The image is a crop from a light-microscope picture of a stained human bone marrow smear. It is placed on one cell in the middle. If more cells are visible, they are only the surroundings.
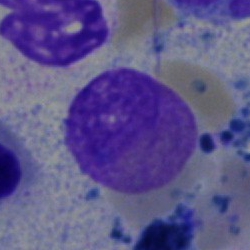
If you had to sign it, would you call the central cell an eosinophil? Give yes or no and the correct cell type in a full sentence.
Yes, within this crop, the central cell is an eosinophil.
